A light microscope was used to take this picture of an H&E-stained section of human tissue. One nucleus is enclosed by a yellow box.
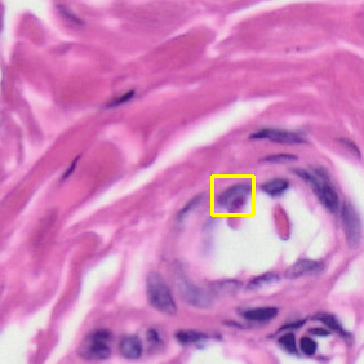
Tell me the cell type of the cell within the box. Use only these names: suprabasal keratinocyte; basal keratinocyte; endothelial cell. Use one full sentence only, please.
Assigned to a cell type, the cell within the box is an endothelial cell.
